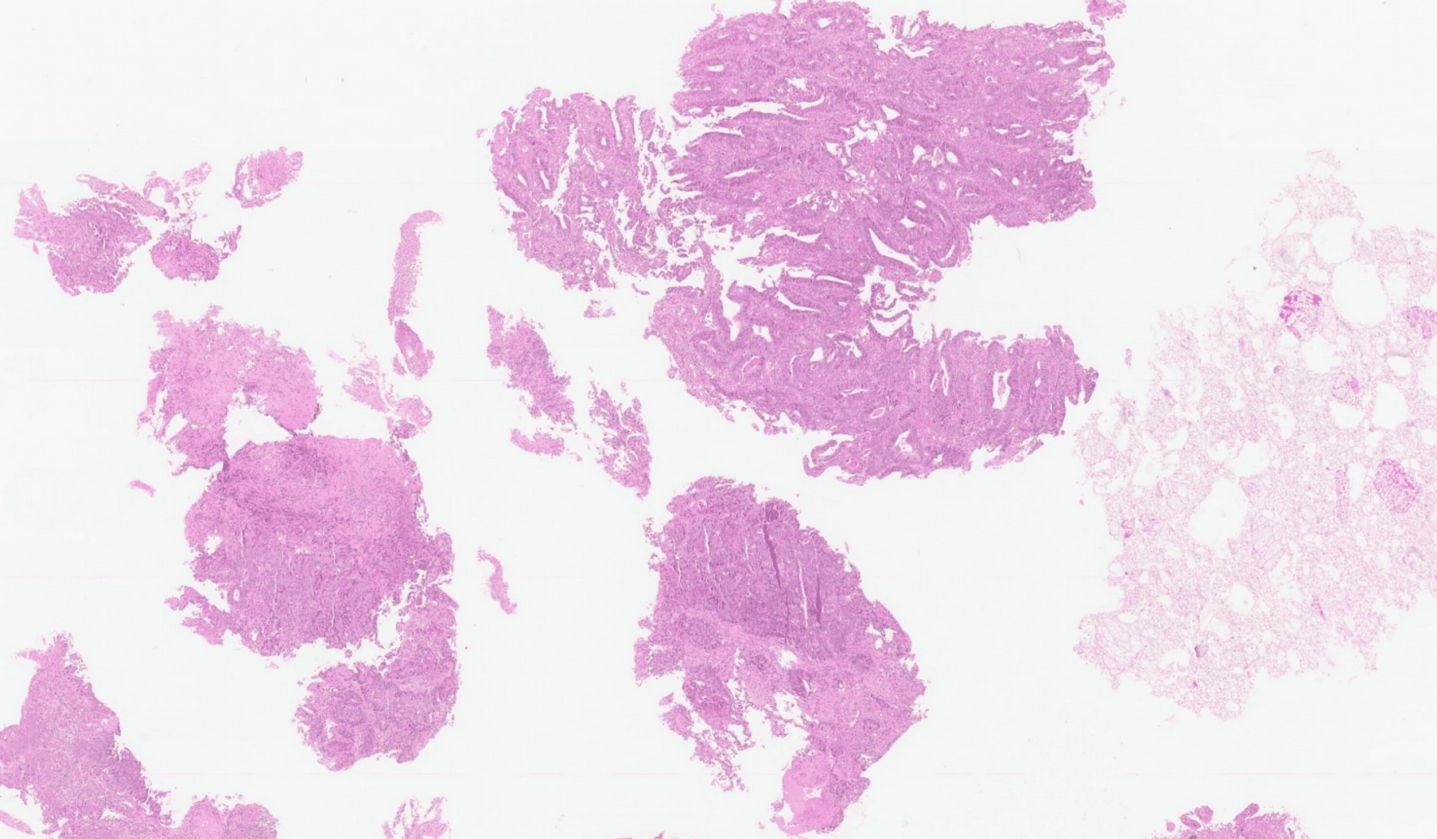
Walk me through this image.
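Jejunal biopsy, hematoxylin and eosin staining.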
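The largest fragment, at upper center, is crowded with irregular, elongated and branching tubular gland-like spaces packed closely together with little tissue between them. Other fragments, at left and lower center, are made up largely of dense, solid sheets with few lumens. A paler, loosely textured fragment with open spaces lies at the right, apart from the dense tumor fragments.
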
